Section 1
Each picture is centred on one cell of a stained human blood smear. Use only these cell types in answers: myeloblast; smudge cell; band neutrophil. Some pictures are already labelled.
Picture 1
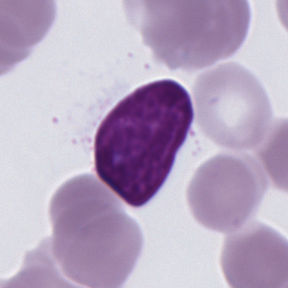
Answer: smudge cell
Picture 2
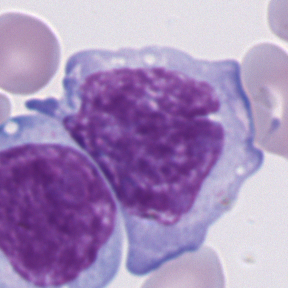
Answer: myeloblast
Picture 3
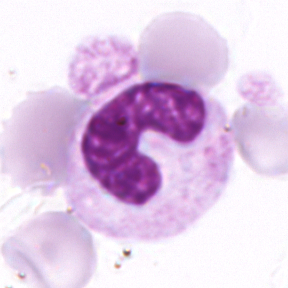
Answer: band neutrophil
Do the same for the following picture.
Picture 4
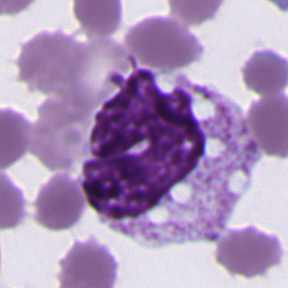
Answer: band neutrophil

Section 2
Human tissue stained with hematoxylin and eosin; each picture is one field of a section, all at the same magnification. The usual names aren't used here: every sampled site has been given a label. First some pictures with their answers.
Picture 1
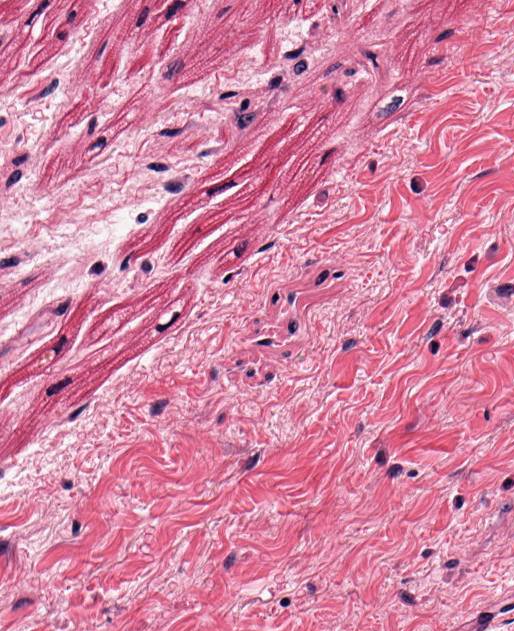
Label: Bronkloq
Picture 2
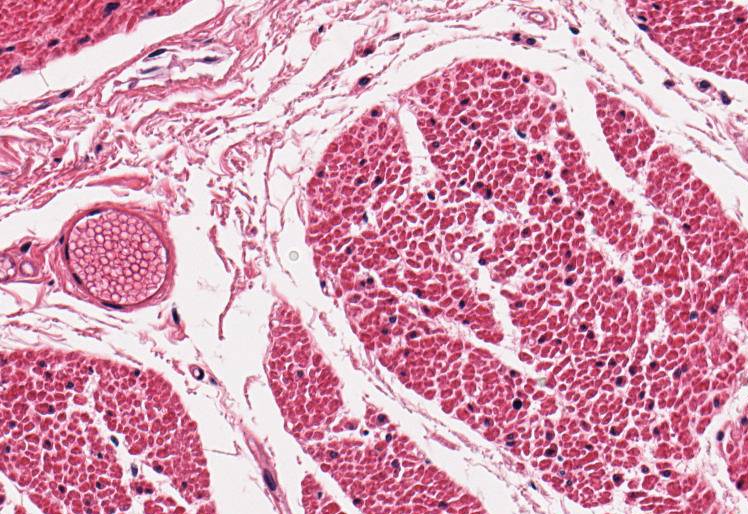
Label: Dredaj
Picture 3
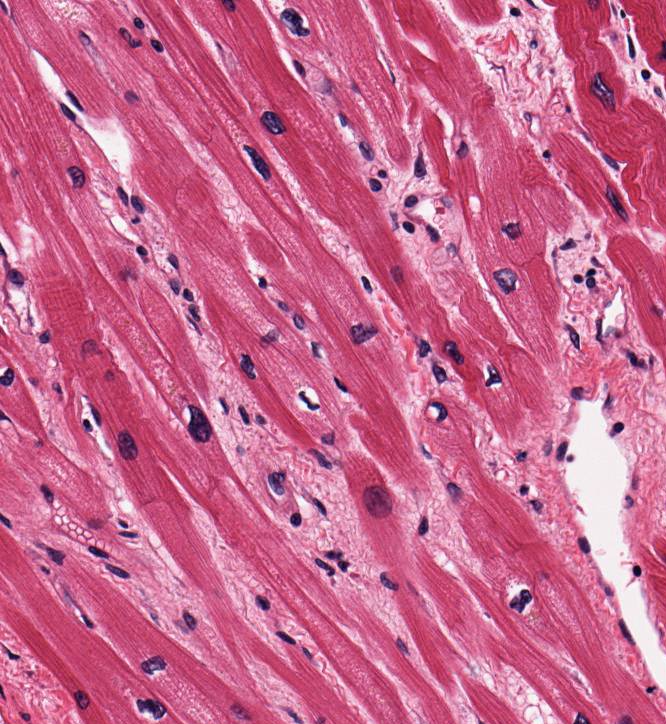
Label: Bronkloq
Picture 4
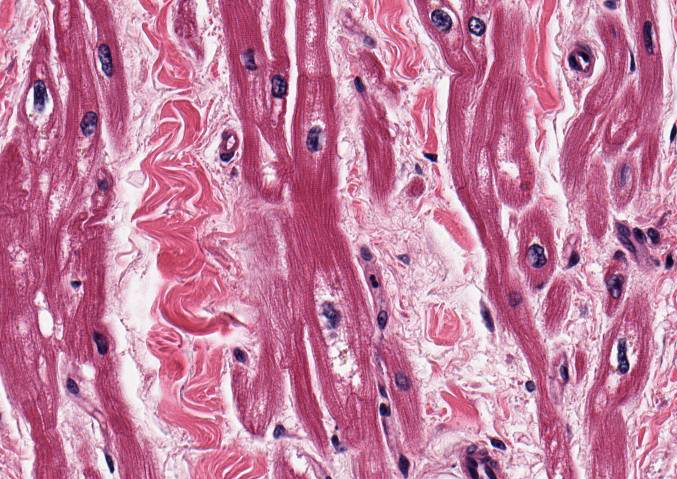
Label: Bronkloq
